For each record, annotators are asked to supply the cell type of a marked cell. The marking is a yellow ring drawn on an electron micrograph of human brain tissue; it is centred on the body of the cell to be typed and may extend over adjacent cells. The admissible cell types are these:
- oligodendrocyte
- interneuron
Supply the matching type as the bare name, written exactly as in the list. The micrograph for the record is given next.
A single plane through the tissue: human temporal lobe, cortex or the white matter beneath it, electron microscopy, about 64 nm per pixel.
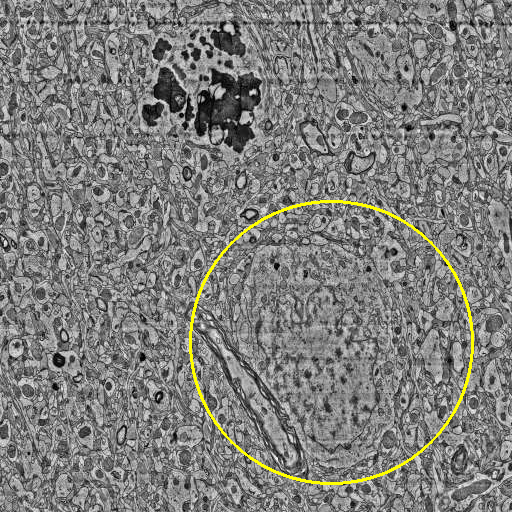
interneuron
